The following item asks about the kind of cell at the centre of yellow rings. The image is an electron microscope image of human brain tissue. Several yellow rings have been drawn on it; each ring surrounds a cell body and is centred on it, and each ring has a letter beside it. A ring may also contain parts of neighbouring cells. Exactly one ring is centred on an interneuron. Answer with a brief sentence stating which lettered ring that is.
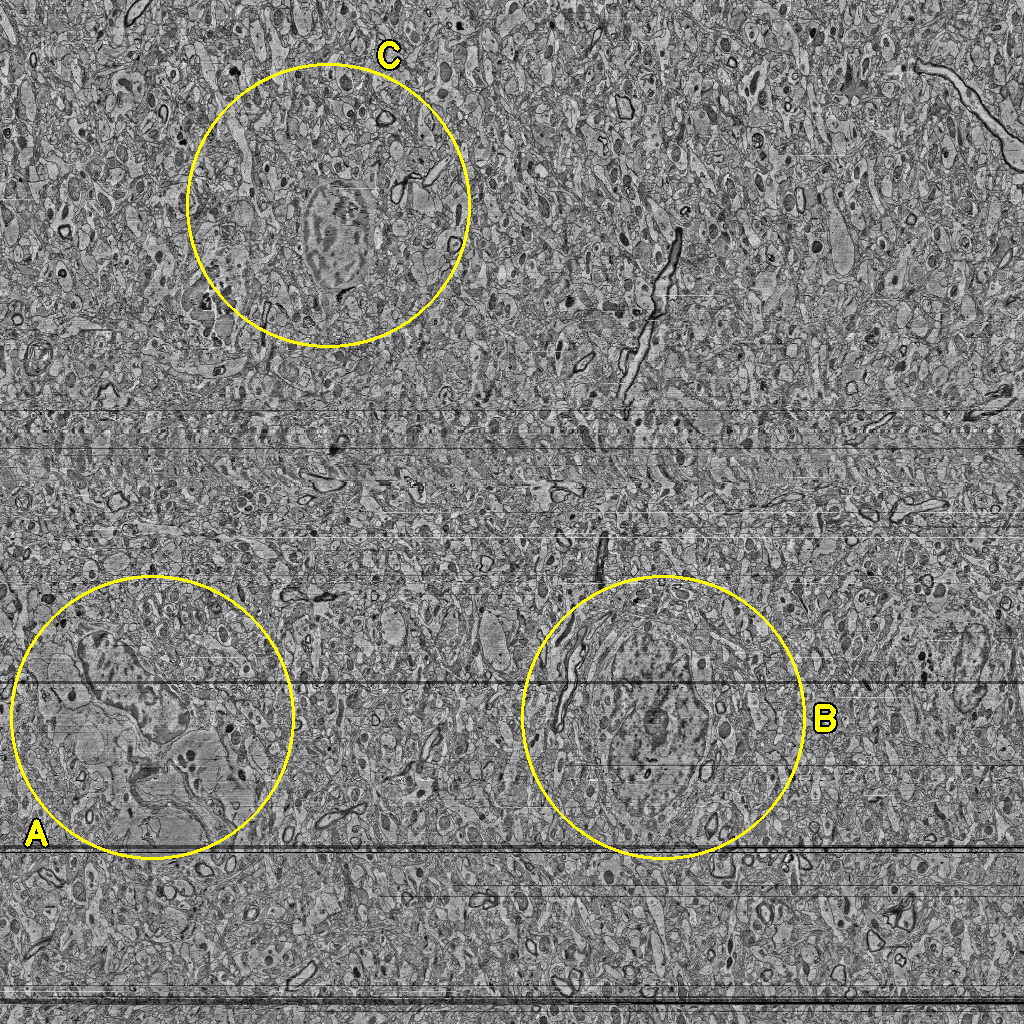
That is ring B.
